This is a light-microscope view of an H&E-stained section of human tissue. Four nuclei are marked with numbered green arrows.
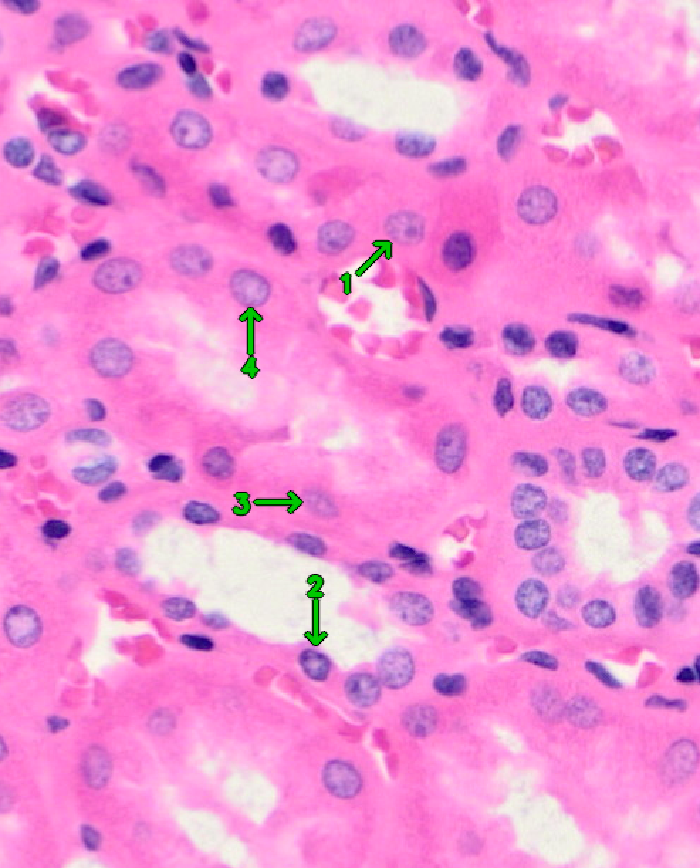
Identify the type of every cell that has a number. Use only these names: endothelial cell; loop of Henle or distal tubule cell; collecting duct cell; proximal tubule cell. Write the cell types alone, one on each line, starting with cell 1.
proximal tubule cell
loop of Henle or distal tubule cell
proximal tubule cell
proximal tubule cell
